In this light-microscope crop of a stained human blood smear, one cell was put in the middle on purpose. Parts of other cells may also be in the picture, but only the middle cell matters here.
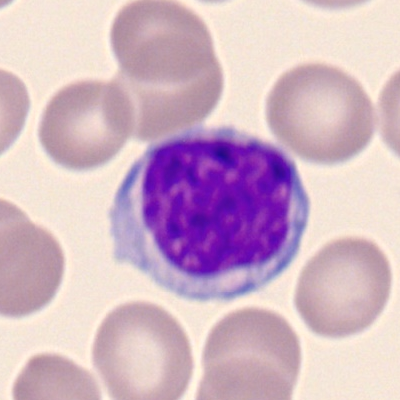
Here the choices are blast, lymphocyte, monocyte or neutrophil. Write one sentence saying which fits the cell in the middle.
The cell at the middle of the crop is recognized as a lymphocyte.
